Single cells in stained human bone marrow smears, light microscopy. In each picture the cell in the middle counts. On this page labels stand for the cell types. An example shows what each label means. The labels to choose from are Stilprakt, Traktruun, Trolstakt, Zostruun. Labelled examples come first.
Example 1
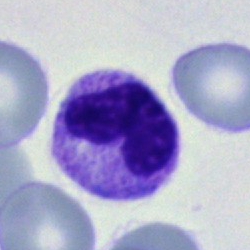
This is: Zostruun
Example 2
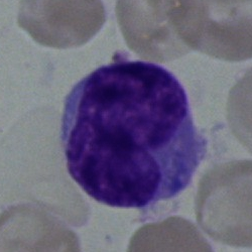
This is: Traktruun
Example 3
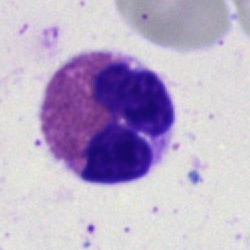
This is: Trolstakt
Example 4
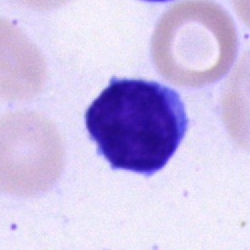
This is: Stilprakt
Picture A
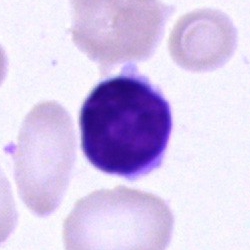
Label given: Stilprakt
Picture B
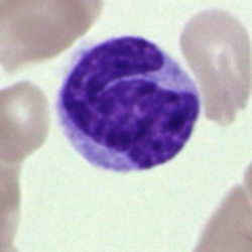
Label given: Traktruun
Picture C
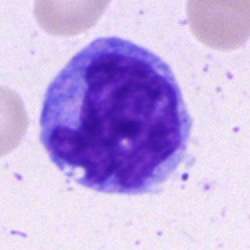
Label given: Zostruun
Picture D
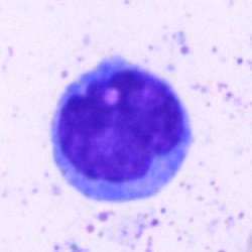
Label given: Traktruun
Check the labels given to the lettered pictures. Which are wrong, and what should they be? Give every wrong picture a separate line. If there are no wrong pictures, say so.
C: not Zostruun but Traktruun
